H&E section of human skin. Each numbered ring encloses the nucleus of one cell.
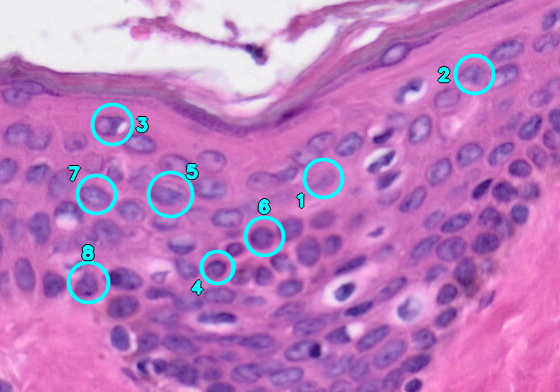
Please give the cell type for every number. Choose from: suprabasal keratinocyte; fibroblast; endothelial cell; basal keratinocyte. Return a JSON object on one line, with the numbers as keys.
{"1": "suprabasal keratinocyte", "2": "suprabasal keratinocyte", "3": "suprabasal keratinocyte", "4": "basal keratinocyte", "5": "suprabasal keratinocyte", "6": "basal keratinocyte", "7": "suprabasal keratinocyte", "8": "basal keratinocyte"}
